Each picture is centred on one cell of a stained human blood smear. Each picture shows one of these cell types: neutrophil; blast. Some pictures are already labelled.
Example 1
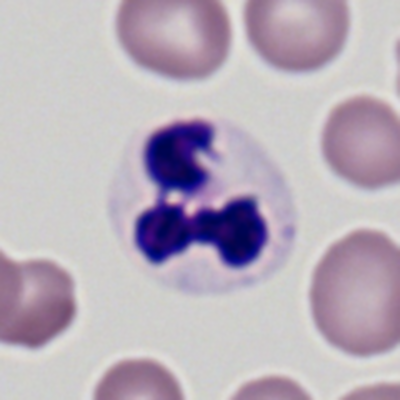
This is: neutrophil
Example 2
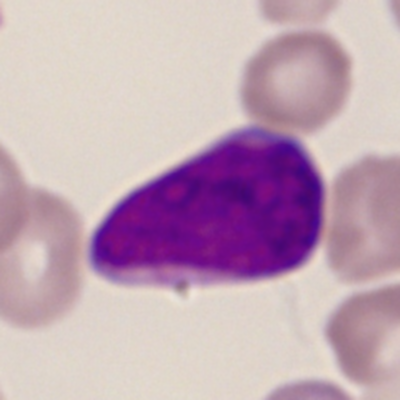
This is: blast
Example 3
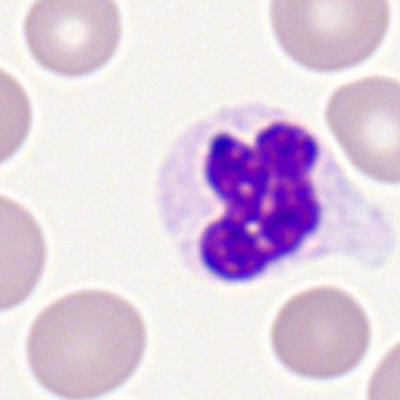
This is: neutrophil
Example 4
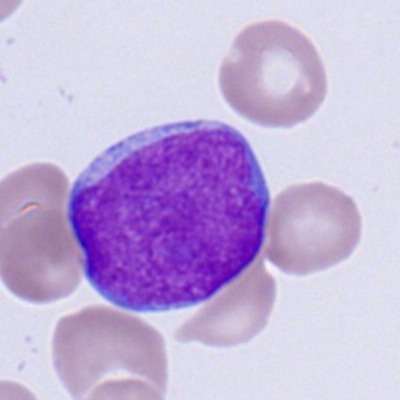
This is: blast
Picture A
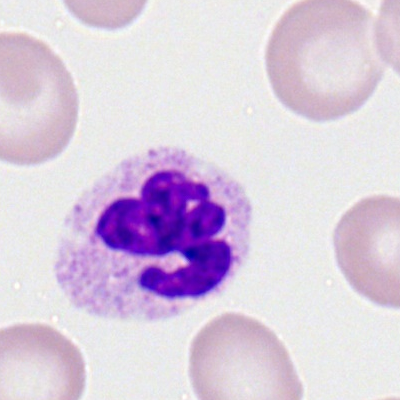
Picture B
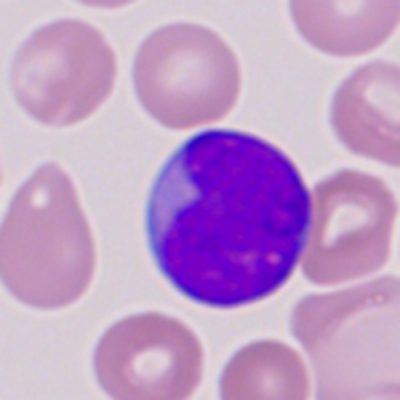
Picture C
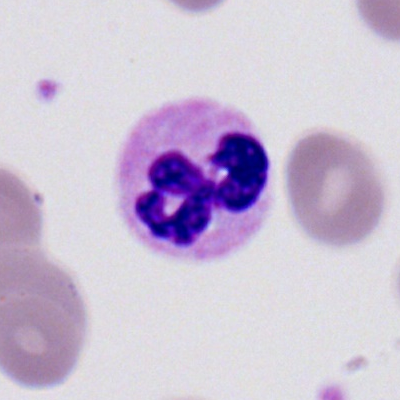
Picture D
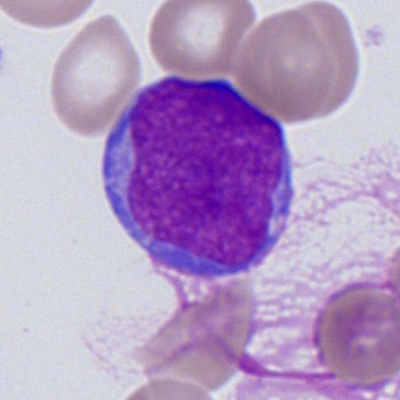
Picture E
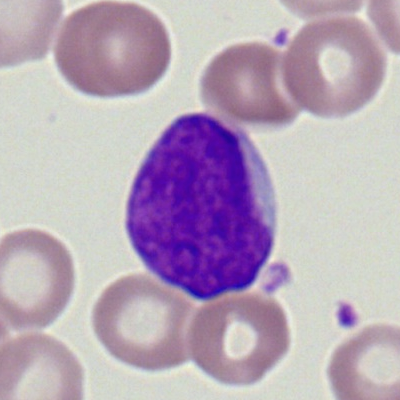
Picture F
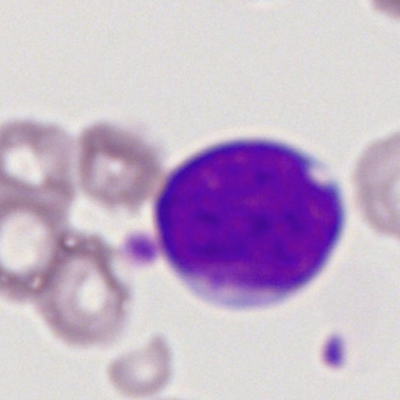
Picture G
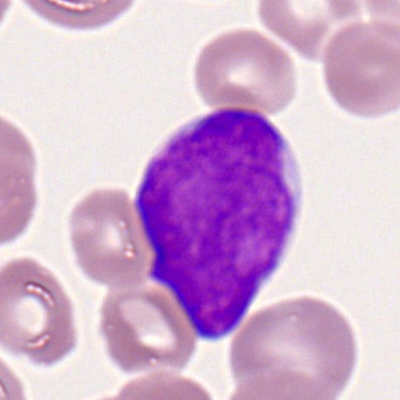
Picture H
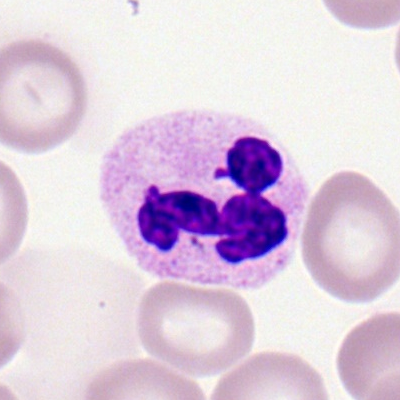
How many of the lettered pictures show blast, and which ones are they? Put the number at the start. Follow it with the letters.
5, namely B, D, E, F, G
